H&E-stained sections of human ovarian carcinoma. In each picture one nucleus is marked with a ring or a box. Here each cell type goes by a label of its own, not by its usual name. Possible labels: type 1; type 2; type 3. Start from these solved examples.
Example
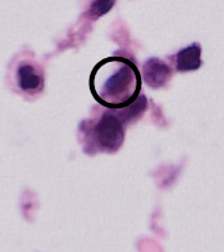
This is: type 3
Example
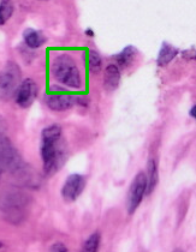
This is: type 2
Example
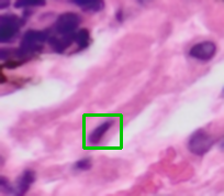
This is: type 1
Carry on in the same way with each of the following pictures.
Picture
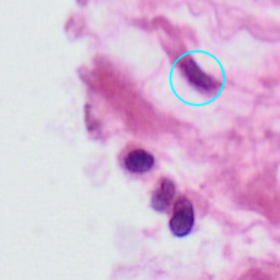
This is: type 1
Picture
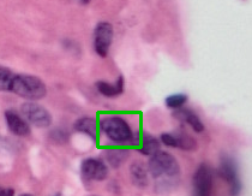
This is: type 3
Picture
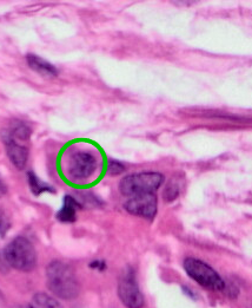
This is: type 3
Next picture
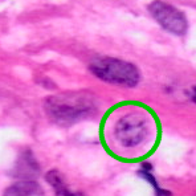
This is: type 2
